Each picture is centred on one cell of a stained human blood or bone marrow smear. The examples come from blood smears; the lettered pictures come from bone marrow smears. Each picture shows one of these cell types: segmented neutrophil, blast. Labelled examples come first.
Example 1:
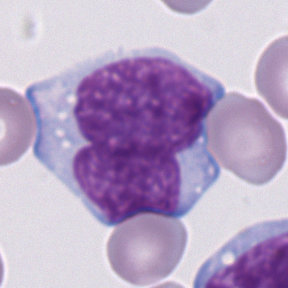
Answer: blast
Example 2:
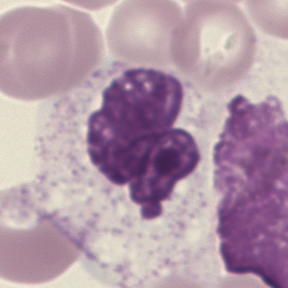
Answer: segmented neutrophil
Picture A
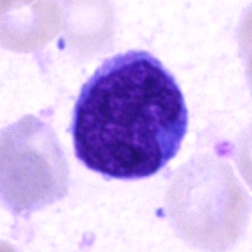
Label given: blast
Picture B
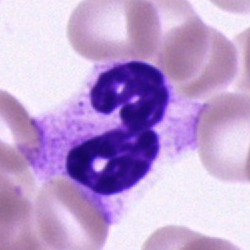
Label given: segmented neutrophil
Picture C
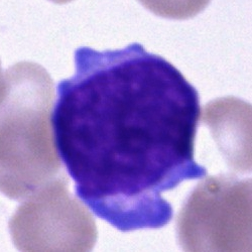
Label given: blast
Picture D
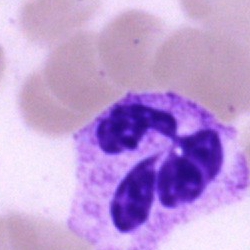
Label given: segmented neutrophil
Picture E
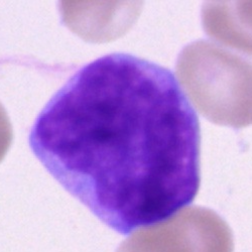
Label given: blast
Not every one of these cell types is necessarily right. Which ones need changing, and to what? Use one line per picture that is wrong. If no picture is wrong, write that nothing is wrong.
All correct.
